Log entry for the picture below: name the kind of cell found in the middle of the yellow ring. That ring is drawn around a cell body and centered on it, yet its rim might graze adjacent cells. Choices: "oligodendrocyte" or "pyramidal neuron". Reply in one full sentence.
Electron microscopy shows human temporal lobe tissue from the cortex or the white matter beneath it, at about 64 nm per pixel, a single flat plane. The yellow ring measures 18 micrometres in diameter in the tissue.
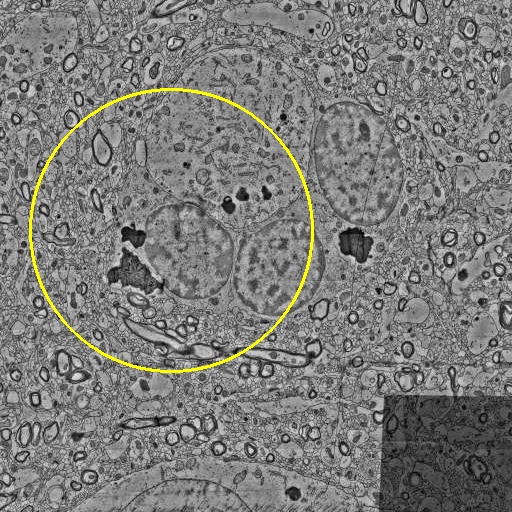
The cell in the middle of the yellow ring in this picture is an oligodendrocyte.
